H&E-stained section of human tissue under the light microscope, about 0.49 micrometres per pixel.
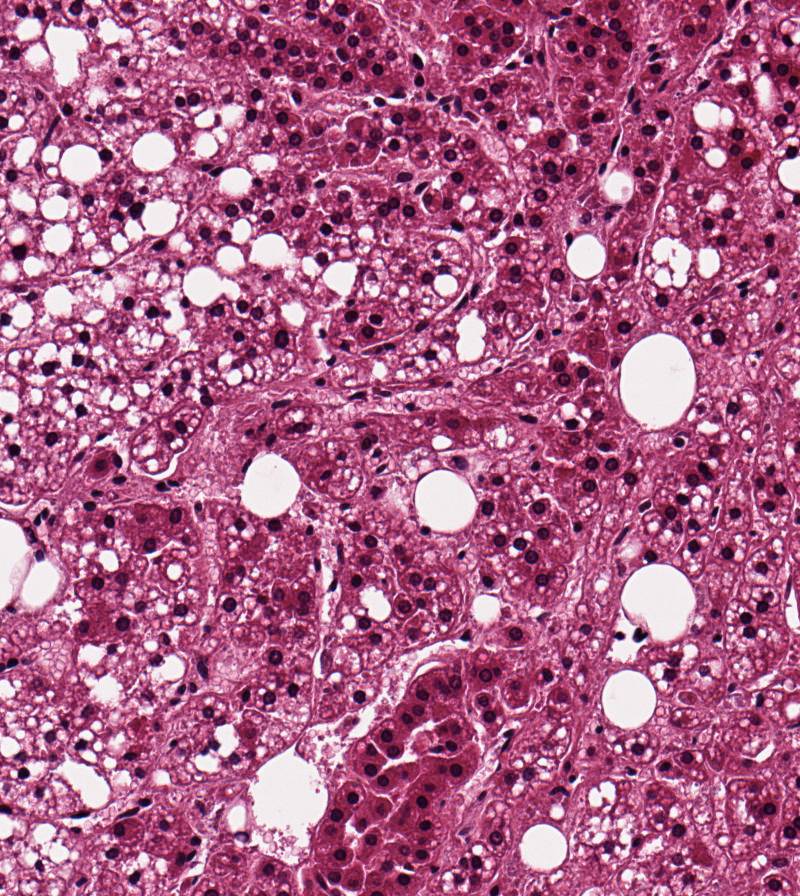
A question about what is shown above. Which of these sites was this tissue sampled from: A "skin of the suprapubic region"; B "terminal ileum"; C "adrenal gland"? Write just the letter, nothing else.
C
